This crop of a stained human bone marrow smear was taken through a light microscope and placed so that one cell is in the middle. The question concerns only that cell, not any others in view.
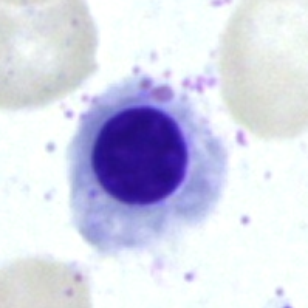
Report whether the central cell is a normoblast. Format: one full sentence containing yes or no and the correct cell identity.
Yes, the cell at the midpoint of the crop is a normoblast.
